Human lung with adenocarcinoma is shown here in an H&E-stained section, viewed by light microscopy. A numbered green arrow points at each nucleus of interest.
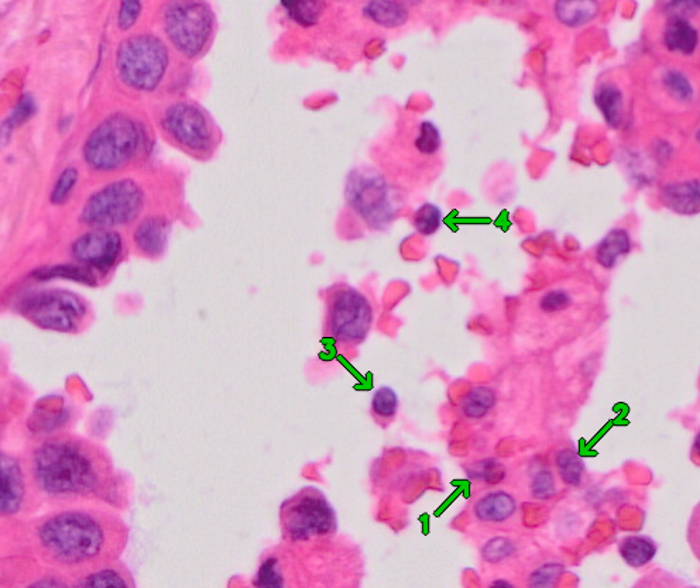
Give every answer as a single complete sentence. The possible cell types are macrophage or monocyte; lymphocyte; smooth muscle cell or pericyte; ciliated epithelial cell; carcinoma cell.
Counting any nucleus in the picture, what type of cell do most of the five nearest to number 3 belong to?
Macrophages or monocytes make up most of the five nuclei closest to number 3.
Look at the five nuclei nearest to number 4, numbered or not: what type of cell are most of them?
The majority of the five nuclei closest to number 4 belong to carcinoma cells.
